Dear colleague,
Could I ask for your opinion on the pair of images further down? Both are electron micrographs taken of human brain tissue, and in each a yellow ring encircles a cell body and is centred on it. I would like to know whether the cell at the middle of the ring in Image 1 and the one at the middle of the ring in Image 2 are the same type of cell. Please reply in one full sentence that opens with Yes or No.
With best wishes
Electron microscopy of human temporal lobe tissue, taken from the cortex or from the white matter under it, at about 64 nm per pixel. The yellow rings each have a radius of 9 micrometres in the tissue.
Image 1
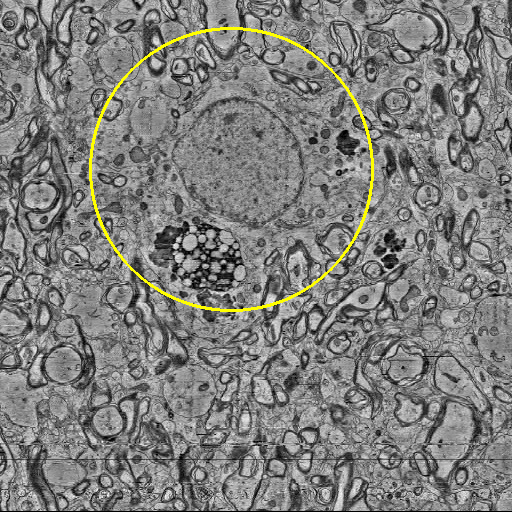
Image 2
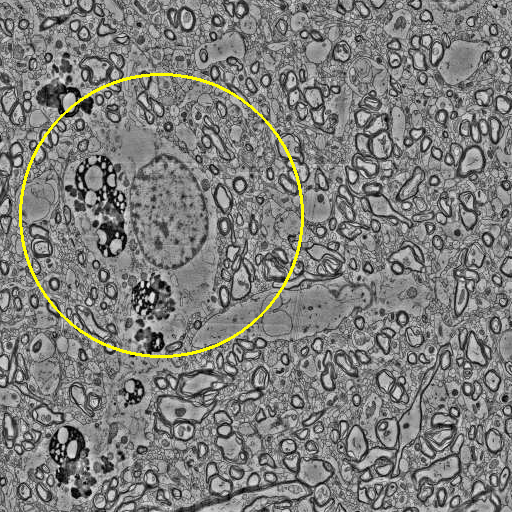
Yes, the cells at the ring centres in Image 1 and Image 2 are of one type.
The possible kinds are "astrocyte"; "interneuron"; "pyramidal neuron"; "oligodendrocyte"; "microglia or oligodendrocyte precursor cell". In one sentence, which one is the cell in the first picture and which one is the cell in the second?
Each of the two pictures has an astrocyte at the ring centre.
